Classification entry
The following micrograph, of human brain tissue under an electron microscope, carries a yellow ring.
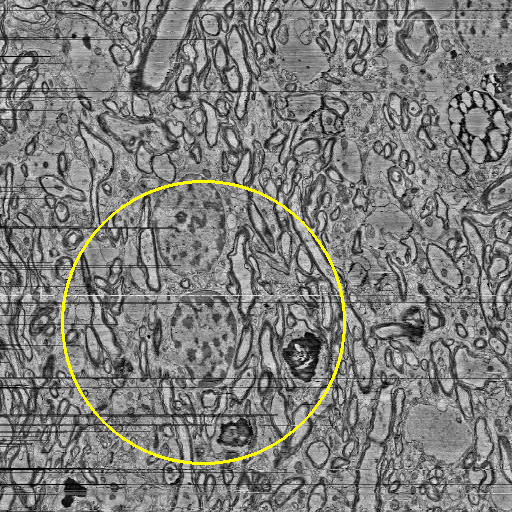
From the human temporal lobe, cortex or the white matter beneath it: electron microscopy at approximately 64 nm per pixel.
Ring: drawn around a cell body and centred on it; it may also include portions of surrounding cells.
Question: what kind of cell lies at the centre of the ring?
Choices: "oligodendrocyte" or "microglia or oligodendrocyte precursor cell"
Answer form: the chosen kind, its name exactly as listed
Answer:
microglia or oligodendrocyte precursor cell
